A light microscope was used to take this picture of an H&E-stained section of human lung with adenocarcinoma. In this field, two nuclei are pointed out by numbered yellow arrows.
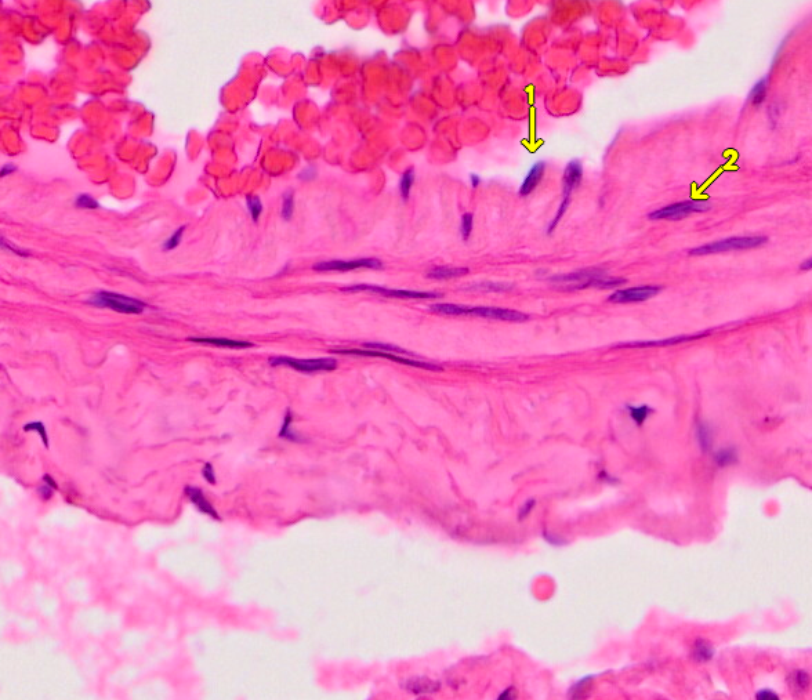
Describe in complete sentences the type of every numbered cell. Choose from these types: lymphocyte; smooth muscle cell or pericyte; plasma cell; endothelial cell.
Cell 1 is an endothelial cell and cell 2 is a smooth muscle cell or pericyte.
